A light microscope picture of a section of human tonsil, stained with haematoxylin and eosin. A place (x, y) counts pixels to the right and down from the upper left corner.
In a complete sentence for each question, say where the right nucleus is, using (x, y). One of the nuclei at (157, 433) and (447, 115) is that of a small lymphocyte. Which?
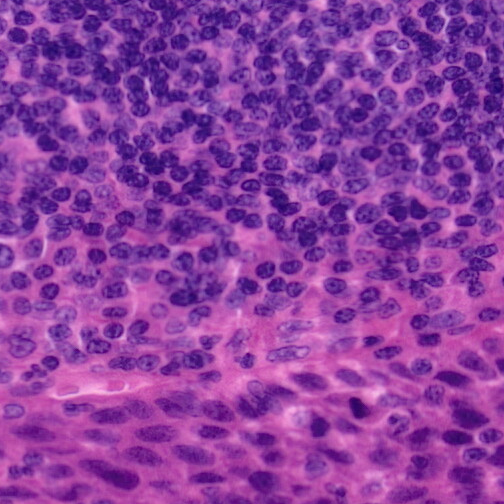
The cell to which the nucleus at (447, 115) belongs is a small lymphocyte.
